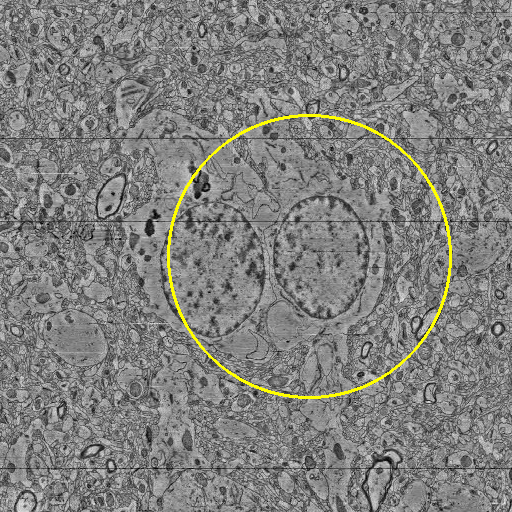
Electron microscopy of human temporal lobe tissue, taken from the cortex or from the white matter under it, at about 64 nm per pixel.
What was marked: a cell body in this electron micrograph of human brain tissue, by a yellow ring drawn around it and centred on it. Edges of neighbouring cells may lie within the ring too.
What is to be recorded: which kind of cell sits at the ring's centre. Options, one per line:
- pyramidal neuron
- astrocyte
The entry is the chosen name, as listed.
astrocyte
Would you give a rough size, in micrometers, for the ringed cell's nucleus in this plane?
About 8 by 6 micrometers for the nucleus, in this plane.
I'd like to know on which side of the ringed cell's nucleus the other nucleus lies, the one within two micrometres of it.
The other nucleus appears to the left of it.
